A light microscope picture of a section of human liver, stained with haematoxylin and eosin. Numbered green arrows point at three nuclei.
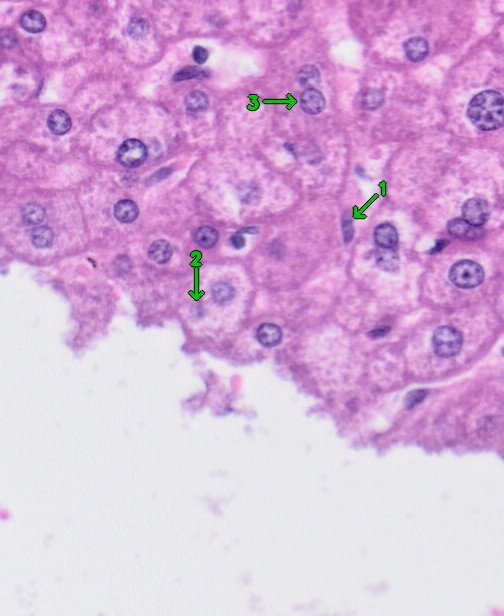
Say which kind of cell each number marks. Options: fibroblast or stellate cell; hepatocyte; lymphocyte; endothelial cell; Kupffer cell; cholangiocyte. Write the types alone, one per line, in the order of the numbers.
Kupffer cell
hepatocyte
hepatocyte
